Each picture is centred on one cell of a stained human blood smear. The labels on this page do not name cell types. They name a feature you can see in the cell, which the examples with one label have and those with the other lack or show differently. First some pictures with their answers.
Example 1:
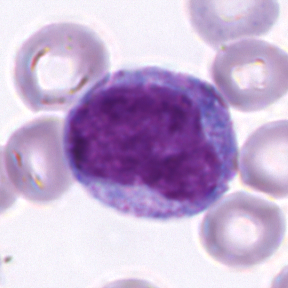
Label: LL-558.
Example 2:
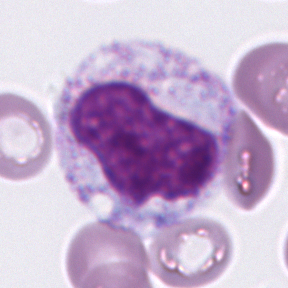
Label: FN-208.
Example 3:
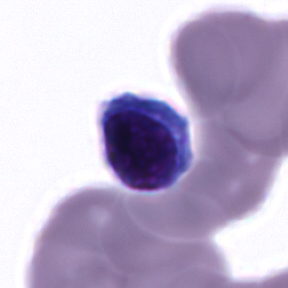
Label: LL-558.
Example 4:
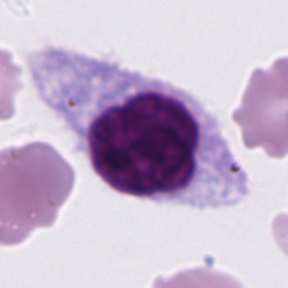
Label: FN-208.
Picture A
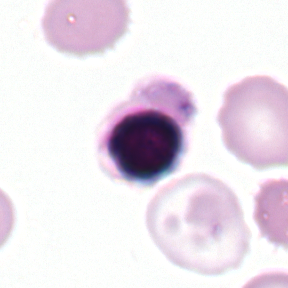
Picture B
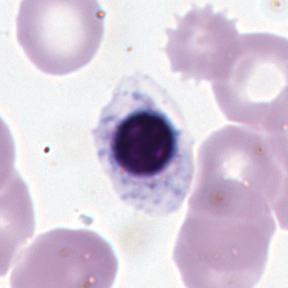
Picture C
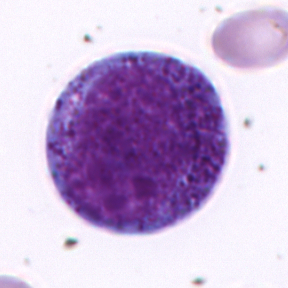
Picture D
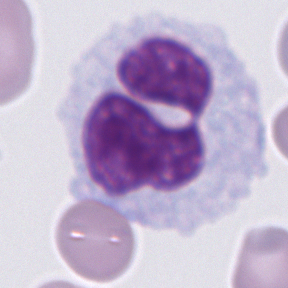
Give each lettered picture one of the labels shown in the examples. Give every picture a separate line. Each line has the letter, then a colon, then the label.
A: LL-558.
B: FN-208.
C: LL-558.
D: FN-208.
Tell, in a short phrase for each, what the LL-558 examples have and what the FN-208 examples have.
LL-558: scant cytoplasm; FN-208: abundant cytoplasm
